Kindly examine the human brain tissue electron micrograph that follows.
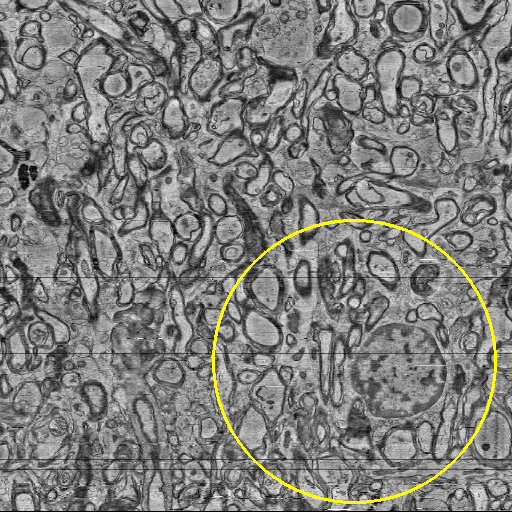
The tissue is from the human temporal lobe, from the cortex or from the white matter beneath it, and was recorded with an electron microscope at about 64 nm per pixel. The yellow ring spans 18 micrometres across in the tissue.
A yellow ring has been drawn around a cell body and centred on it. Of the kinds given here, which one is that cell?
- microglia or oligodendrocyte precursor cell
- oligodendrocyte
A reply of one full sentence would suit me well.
The micrograph's ringed cell, the one at the ring's centre, is a microglial cell or oligodendrocyte precursor cell.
